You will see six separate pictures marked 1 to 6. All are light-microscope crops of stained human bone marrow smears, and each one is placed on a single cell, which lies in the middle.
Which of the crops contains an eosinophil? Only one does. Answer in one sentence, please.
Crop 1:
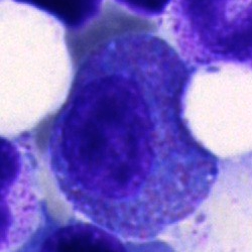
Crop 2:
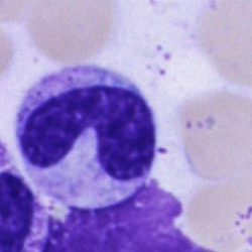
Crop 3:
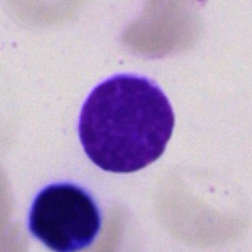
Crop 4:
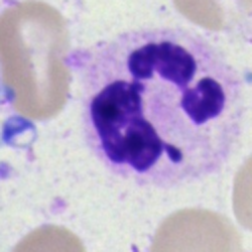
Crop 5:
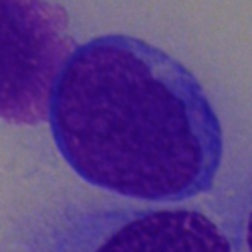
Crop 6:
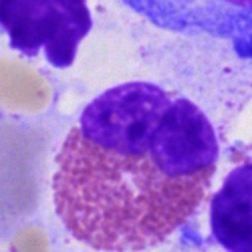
It is crop 6 that shows an eosinophil.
